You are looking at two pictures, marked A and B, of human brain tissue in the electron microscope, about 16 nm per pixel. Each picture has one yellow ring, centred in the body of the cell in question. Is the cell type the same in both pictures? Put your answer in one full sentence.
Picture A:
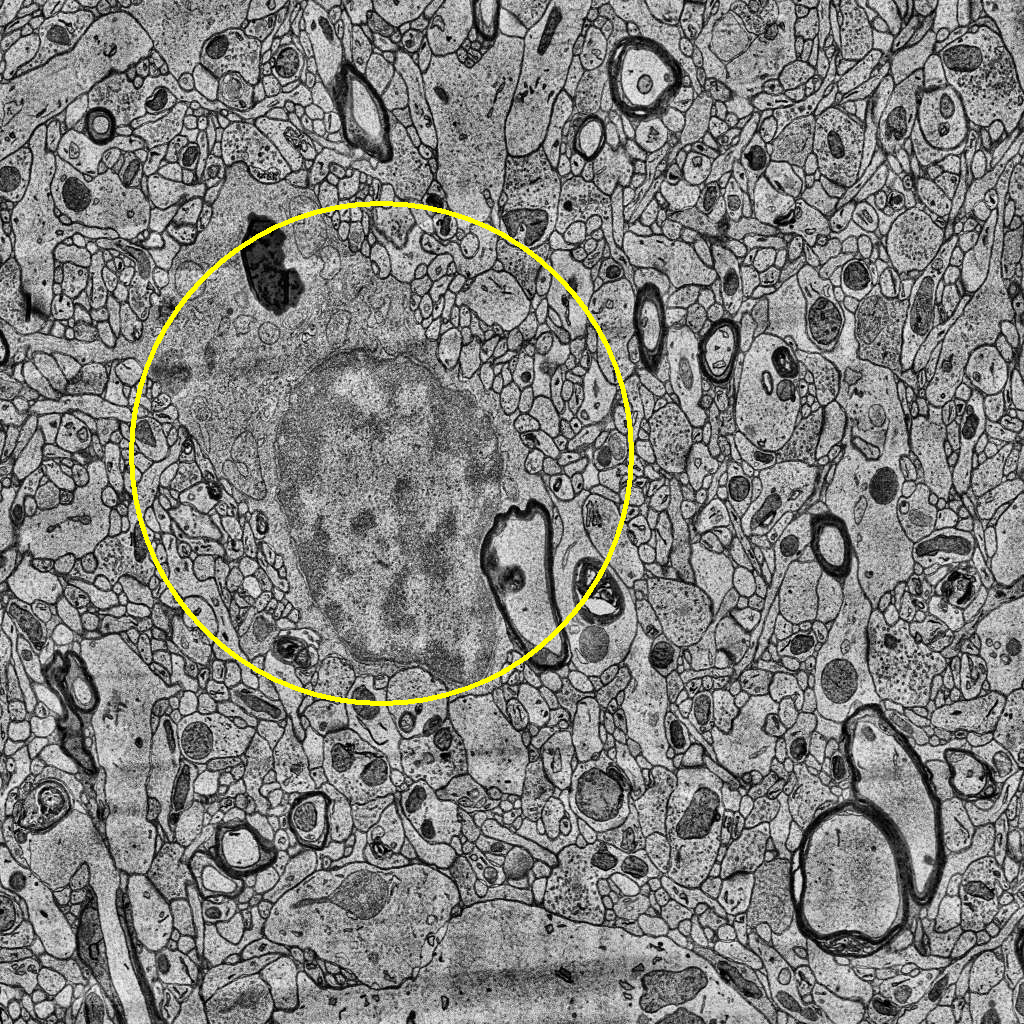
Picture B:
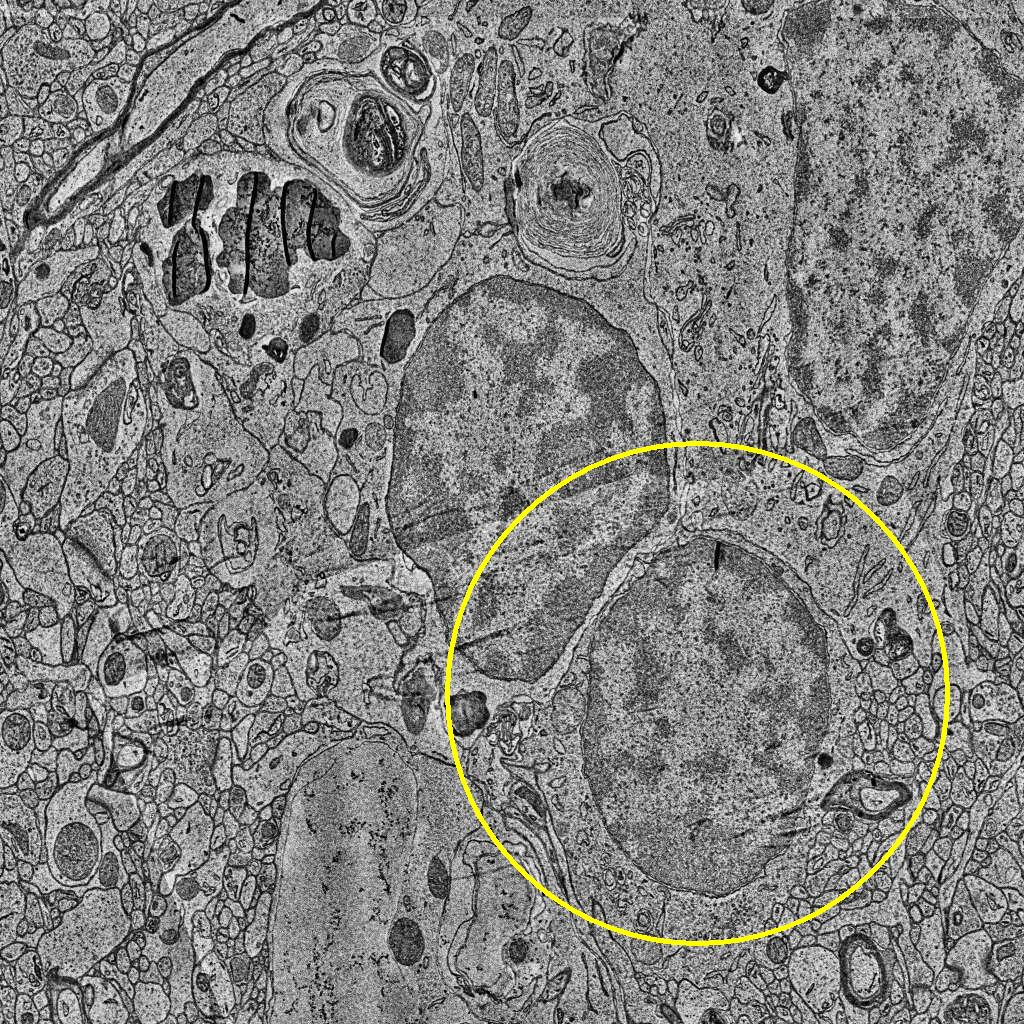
Yes, both are oligodendrocytes.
